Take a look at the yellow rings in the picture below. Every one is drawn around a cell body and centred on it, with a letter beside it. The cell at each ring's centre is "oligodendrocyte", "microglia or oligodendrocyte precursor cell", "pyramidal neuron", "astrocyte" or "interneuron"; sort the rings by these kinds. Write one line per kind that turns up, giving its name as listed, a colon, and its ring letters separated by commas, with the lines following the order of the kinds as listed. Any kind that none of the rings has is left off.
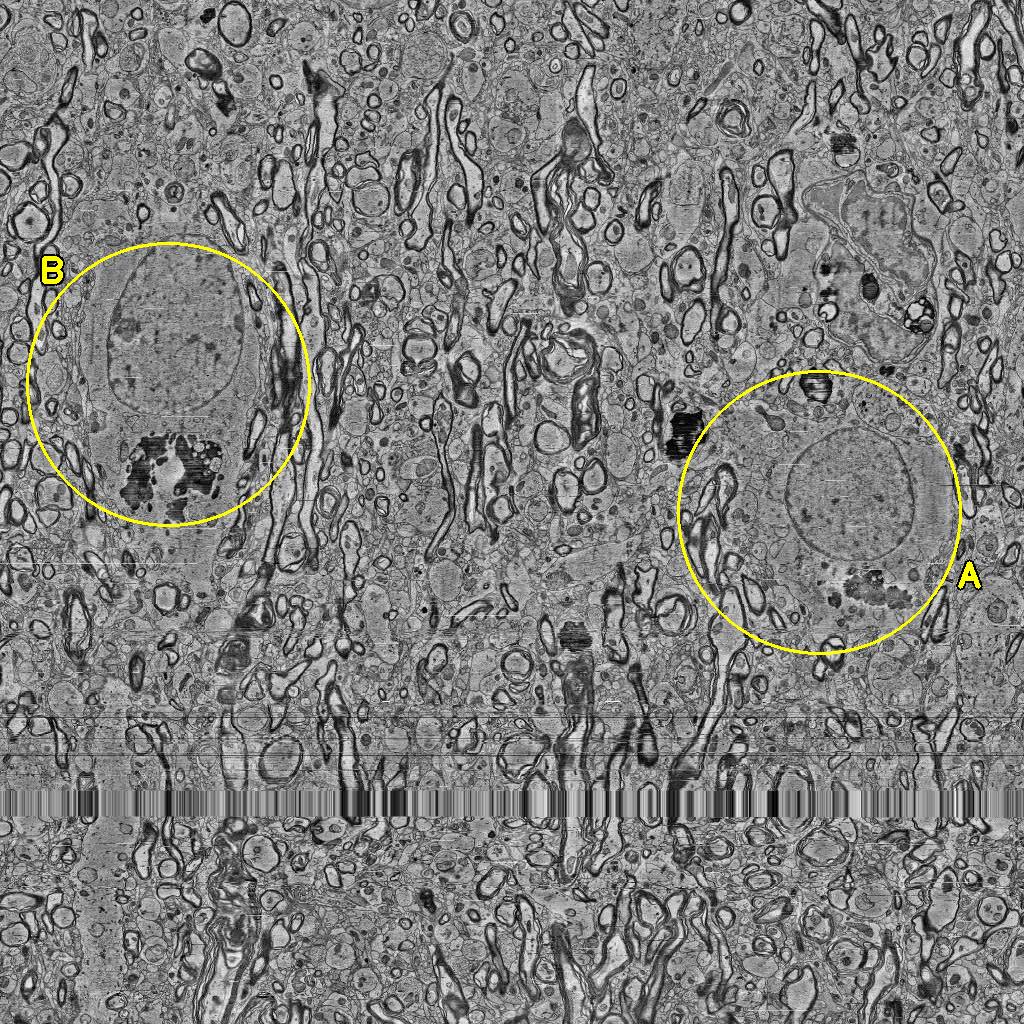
microglia or oligodendrocyte precursor cell: A
astrocyte: B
